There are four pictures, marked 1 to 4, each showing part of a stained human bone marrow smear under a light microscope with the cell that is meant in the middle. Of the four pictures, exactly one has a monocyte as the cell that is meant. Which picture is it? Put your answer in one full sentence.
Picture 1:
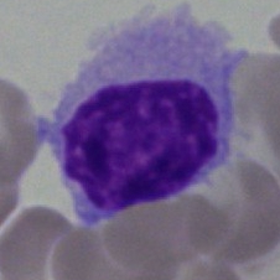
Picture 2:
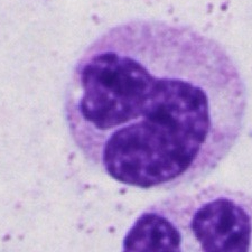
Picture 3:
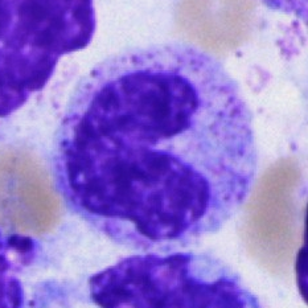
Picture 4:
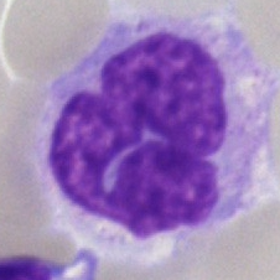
The picture with the monocyte is 4.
